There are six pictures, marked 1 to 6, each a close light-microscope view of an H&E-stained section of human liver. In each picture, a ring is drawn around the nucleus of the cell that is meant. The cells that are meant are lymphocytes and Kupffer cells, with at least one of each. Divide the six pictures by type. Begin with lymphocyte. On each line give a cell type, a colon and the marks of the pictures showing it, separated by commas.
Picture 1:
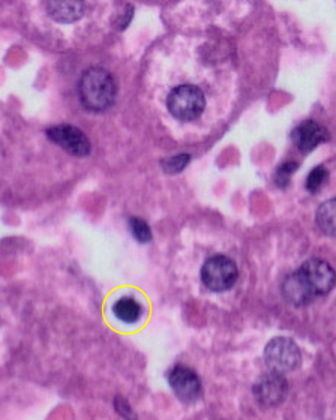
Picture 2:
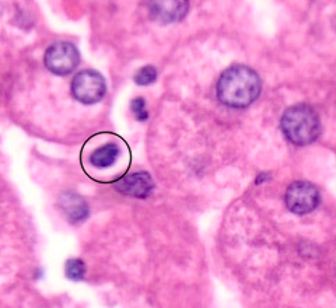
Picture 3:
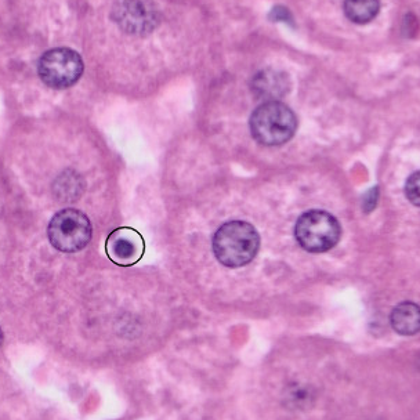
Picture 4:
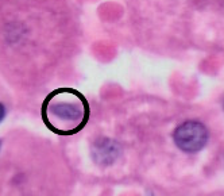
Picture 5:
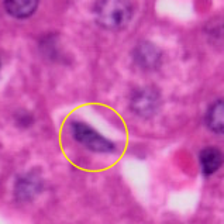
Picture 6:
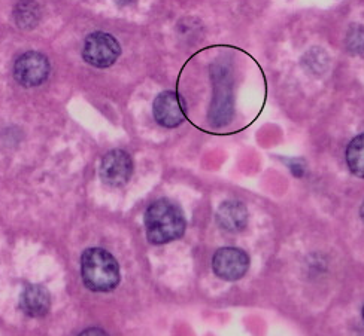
lymphocyte: 1, 2, 3
Kupffer cell: 4, 5, 6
